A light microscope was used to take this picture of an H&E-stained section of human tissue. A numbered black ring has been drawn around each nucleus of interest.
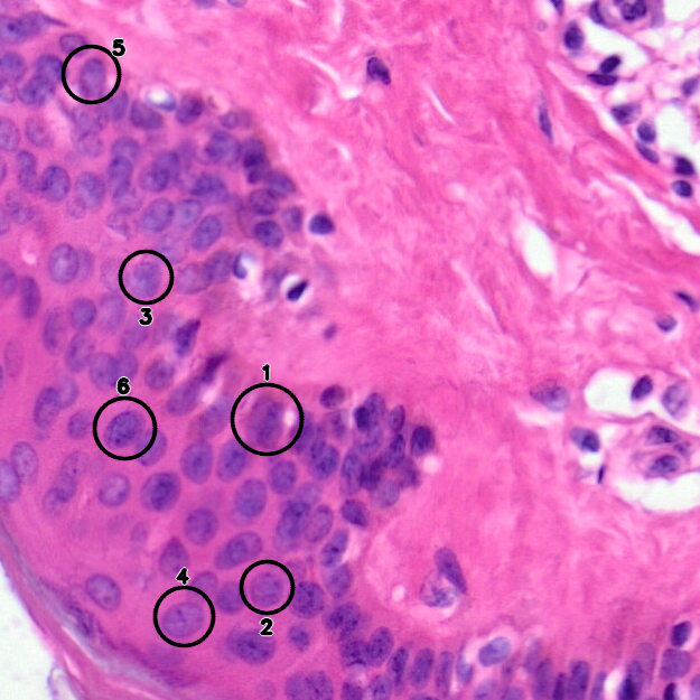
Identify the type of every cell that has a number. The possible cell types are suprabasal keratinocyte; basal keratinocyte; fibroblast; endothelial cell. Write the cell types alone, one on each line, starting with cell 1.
basal keratinocyte
suprabasal keratinocyte
suprabasal keratinocyte
suprabasal keratinocyte
basal keratinocyte
suprabasal keratinocyte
